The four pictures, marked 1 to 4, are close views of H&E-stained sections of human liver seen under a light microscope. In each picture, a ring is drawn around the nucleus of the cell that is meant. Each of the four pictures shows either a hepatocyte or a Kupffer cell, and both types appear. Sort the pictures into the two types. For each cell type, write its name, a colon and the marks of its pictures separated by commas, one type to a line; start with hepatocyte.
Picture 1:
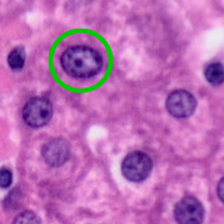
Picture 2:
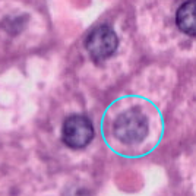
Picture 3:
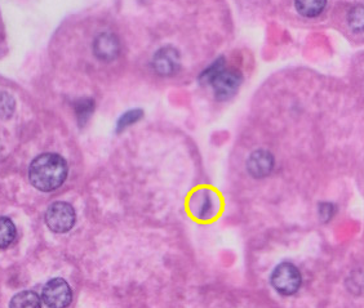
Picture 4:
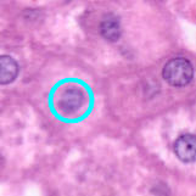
hepatocyte: 1, 2, 4
Kupffer cell: 3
